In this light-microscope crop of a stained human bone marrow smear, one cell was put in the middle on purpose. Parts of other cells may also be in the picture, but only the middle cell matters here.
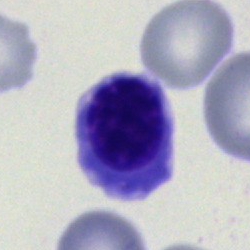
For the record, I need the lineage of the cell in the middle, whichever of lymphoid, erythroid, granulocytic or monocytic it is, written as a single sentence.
The cell at the center is a representative of the erythroid lineage.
